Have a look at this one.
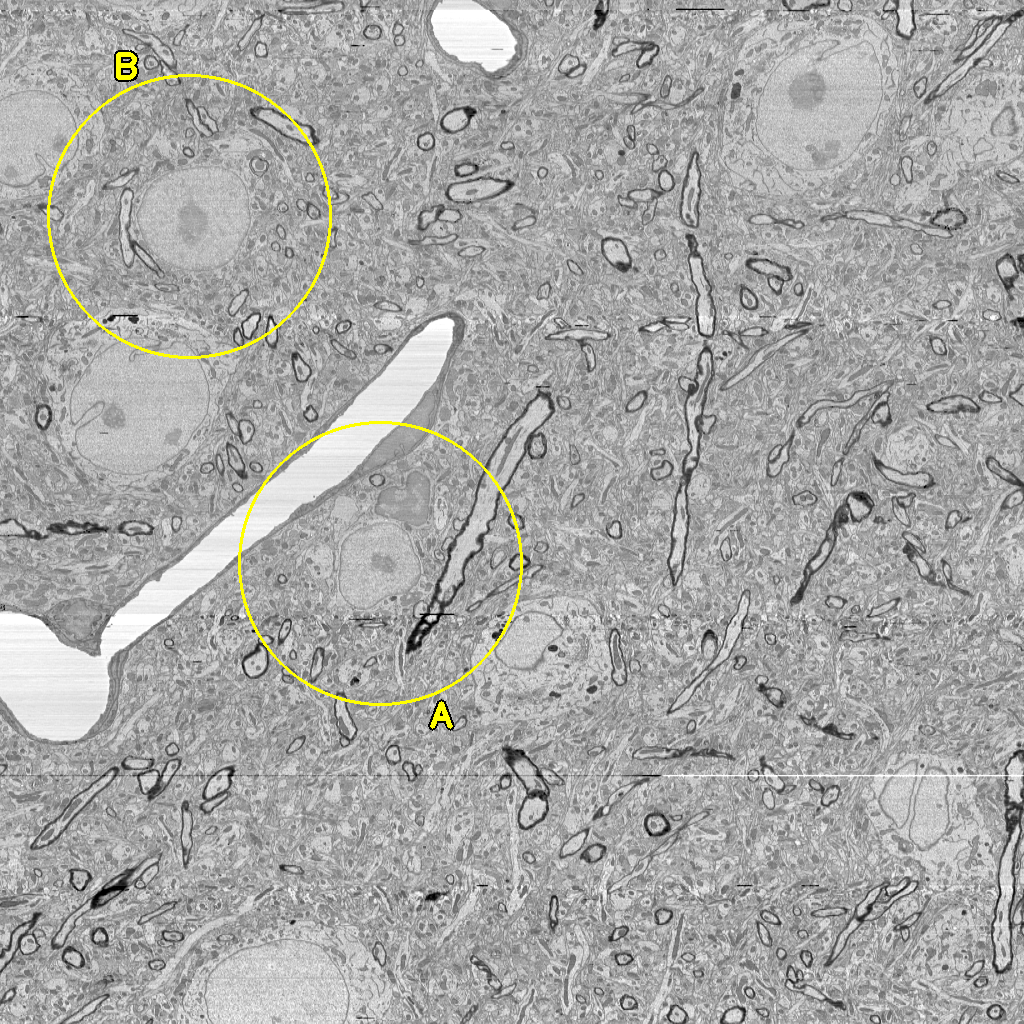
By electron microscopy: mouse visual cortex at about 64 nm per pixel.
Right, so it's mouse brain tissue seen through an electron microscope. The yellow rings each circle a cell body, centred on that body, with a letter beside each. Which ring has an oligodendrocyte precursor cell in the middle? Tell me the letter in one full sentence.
That kind of cell is sitting in the middle of ring A there.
